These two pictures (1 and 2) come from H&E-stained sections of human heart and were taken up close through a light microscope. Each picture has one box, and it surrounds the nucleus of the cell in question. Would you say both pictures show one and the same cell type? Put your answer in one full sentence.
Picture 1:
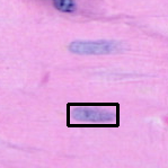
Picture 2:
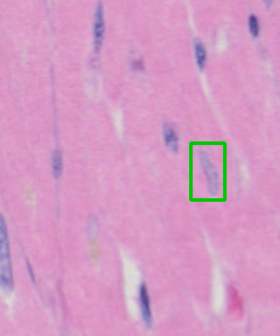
Yes, the two pictures both show cardiomyocytes.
